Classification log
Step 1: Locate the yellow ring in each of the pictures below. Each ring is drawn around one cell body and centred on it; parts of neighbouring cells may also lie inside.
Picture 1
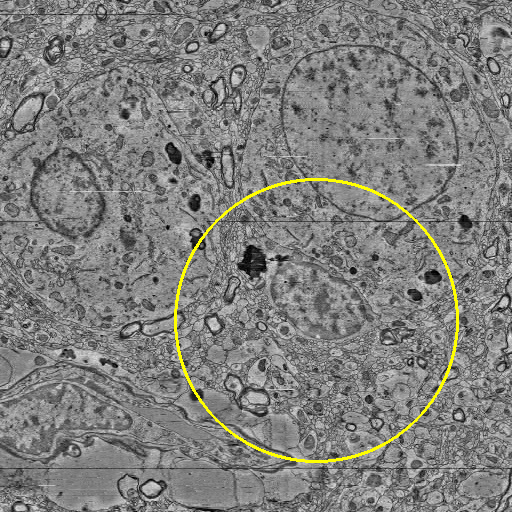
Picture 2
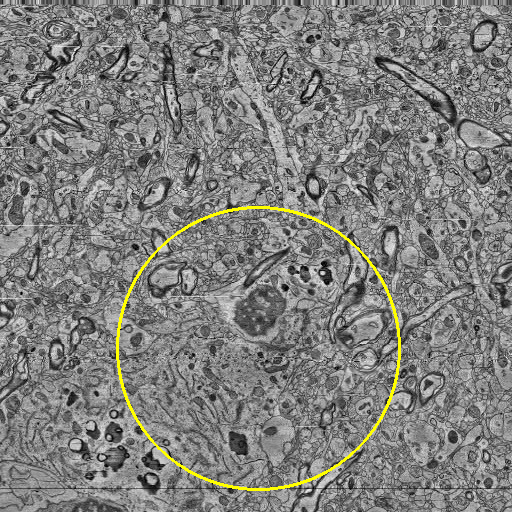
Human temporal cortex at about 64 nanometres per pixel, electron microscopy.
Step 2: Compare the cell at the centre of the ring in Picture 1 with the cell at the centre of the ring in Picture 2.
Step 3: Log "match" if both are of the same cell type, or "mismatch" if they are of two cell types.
mismatch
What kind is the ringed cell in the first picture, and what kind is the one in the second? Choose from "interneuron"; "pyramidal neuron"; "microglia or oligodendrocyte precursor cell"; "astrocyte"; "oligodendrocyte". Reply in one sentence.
The first cell is an oligodendrocyte; the second is a microglial cell or oligodendrocyte precursor cell.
